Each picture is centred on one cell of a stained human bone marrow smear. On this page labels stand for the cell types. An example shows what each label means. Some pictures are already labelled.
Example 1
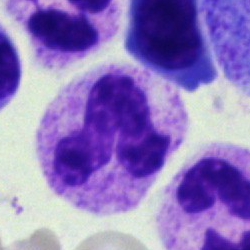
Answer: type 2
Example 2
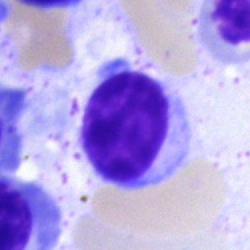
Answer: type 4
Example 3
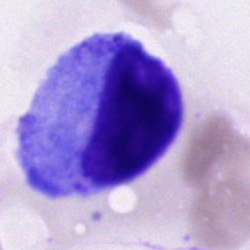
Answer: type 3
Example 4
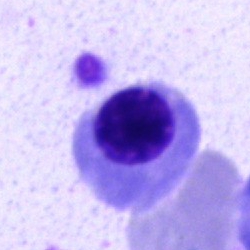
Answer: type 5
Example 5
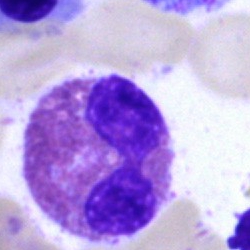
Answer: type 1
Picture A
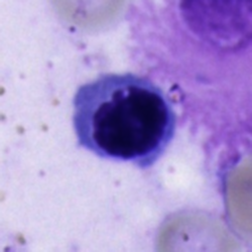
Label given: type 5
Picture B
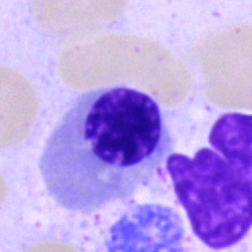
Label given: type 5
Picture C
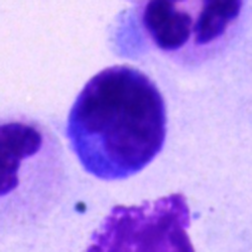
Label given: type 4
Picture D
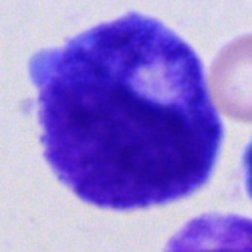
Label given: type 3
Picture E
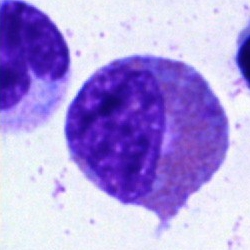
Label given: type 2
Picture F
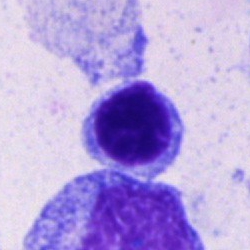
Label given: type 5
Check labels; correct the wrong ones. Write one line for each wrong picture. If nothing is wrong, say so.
E: type 1, not type 2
